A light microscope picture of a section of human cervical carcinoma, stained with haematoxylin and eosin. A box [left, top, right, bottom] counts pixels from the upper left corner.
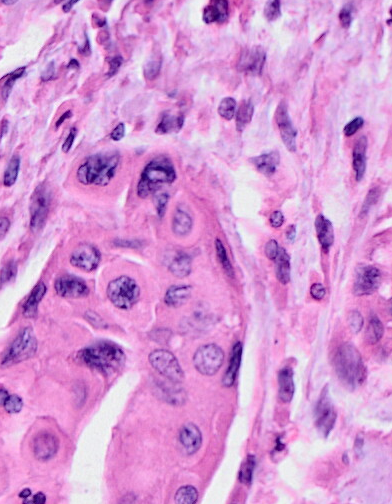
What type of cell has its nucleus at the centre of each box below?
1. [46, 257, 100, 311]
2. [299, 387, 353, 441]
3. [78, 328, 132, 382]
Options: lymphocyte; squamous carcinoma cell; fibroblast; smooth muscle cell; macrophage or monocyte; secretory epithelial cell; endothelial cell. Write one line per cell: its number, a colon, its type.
1: squamous carcinoma cell
2: fibroblast
3: squamous carcinoma cell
